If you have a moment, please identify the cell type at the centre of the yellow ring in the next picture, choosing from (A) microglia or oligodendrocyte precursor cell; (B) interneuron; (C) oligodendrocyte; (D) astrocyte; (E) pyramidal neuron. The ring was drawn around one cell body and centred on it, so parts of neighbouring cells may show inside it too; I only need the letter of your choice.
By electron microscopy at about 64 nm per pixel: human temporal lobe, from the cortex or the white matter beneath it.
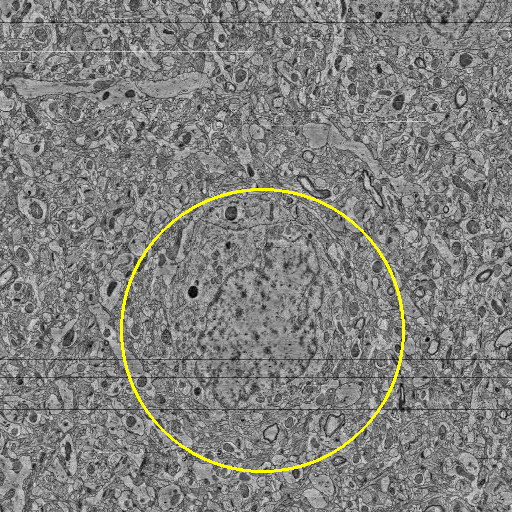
B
